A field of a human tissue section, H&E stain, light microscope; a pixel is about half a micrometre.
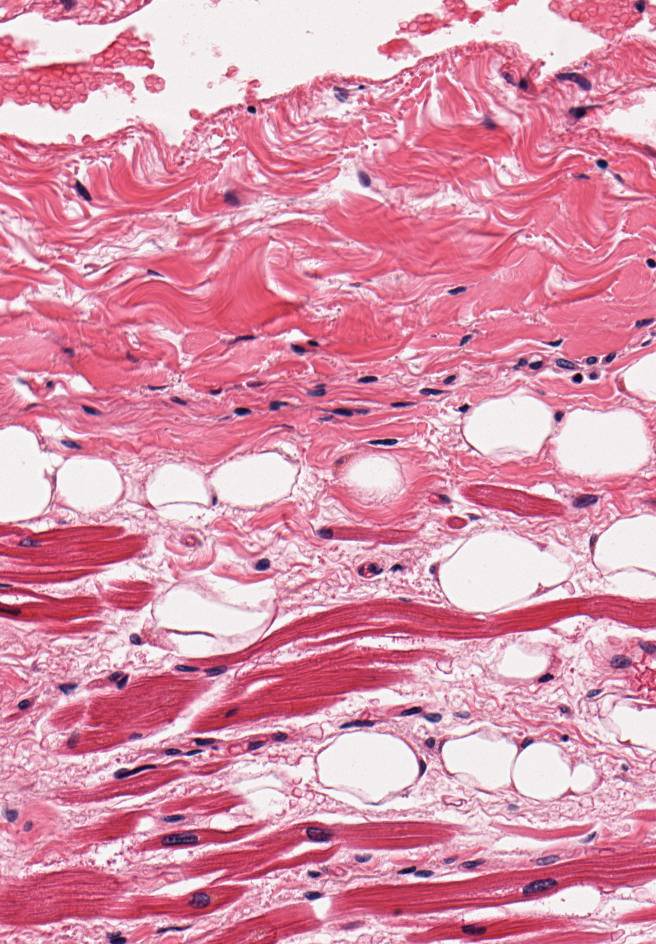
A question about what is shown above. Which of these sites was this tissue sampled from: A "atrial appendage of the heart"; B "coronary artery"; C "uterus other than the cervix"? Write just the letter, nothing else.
A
